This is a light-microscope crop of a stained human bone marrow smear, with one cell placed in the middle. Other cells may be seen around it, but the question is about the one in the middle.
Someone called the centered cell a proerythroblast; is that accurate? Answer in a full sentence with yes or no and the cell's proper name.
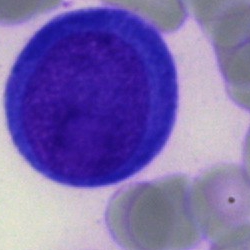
Yes, at the centre of the crop lies a proerythroblast.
